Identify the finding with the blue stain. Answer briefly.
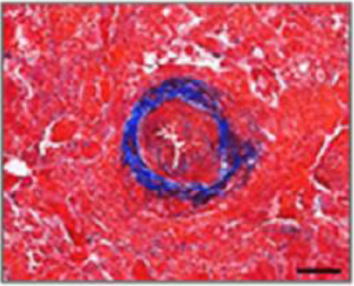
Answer: Perivascular fibrosis.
